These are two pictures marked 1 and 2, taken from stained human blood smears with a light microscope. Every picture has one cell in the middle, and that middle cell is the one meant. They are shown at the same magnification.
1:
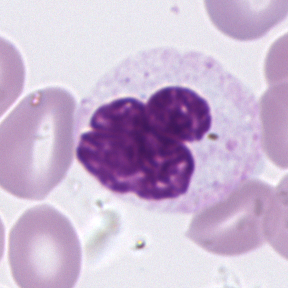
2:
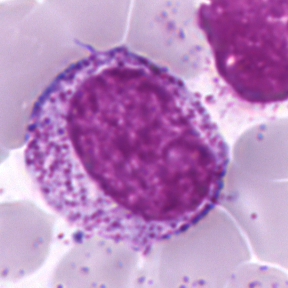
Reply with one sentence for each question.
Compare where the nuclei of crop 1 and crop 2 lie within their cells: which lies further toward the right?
In crop 2 the nucleus is shifted more toward the right.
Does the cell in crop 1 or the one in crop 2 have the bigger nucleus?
Crop 2 shows the larger nucleus; it covers about 1.5 times the area of the nucleus in crop 1.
